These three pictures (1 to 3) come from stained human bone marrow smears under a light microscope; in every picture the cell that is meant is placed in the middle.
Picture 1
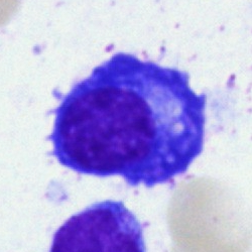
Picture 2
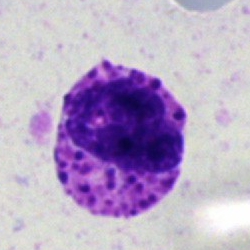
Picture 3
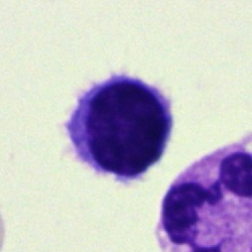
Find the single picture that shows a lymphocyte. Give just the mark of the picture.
3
